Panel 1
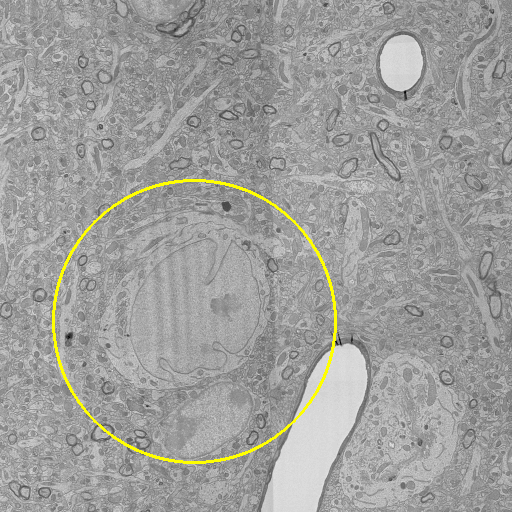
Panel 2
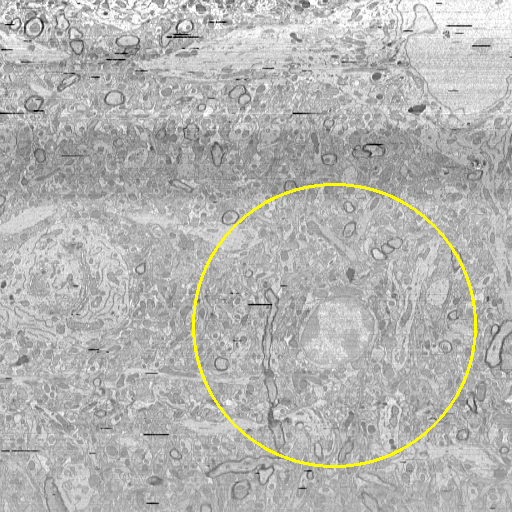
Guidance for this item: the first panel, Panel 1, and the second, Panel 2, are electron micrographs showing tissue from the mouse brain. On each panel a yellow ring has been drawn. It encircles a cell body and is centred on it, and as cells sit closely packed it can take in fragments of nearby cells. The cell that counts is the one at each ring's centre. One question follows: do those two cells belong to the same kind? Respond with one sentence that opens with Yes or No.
No, the cells at the ring centres in Panel 1 and Panel 2 are of two kinds.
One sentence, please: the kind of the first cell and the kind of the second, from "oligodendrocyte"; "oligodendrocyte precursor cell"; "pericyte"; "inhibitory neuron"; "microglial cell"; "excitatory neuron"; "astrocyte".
The ring in the first picture surrounds an excitatory neuron, and the ring in the second surrounds an oligodendrocyte.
